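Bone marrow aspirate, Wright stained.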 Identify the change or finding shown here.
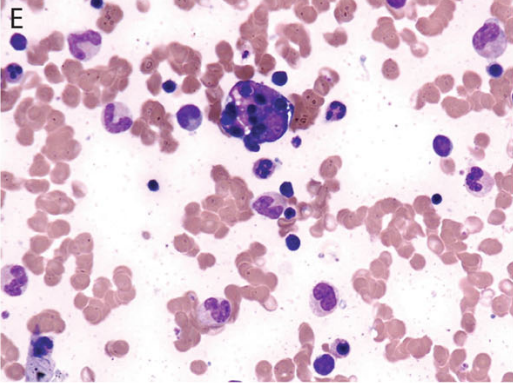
Hemophagocytosis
